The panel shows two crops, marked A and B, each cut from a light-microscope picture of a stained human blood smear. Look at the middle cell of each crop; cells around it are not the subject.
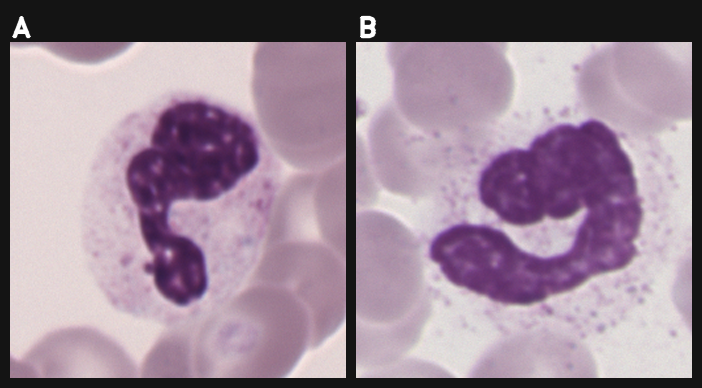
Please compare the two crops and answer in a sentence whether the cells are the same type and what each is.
Yes, they do, both crops show segmented neutrophils.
